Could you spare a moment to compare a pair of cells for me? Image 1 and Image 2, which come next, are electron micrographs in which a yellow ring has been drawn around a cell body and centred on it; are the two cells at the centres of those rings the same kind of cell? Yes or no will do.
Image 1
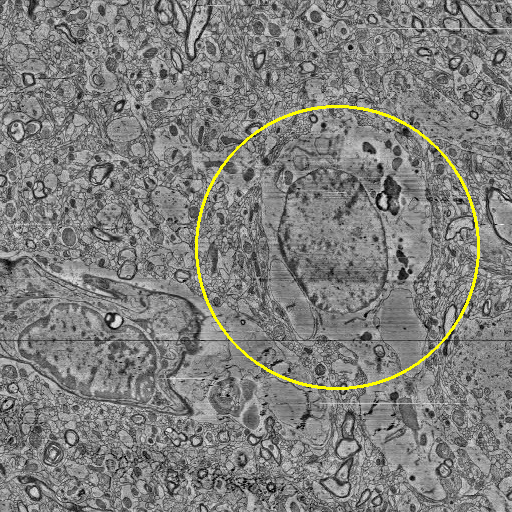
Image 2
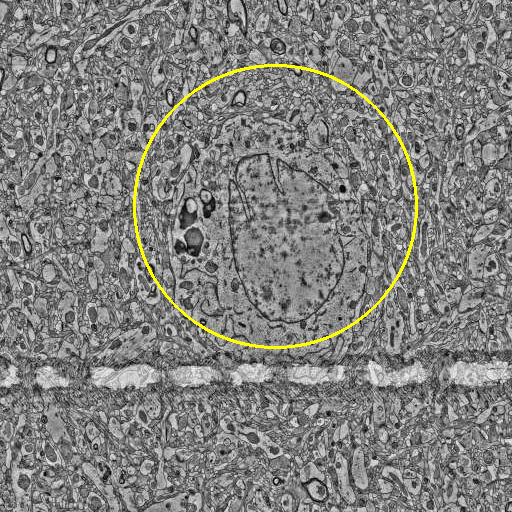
no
